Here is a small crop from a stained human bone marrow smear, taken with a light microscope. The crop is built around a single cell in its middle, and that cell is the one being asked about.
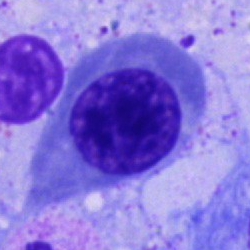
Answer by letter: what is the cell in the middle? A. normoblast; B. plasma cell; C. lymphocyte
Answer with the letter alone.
A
